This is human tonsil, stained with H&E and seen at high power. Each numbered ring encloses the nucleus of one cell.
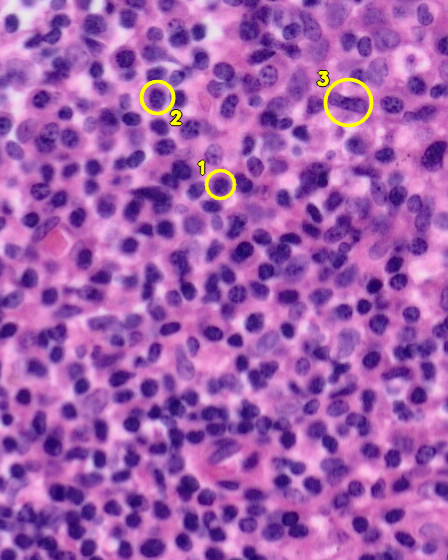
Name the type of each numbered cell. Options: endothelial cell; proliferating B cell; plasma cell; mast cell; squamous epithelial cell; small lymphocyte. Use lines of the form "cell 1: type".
cell 1: plasma cell
cell 2: plasma cell
cell 3: squamous epithelial cell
